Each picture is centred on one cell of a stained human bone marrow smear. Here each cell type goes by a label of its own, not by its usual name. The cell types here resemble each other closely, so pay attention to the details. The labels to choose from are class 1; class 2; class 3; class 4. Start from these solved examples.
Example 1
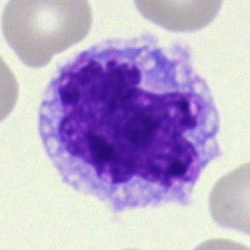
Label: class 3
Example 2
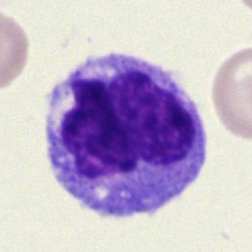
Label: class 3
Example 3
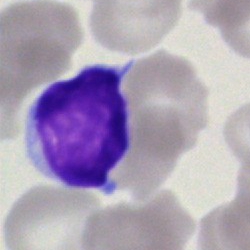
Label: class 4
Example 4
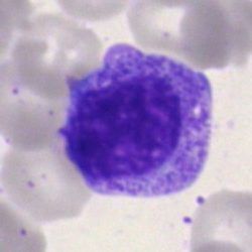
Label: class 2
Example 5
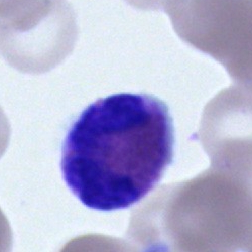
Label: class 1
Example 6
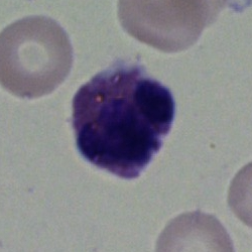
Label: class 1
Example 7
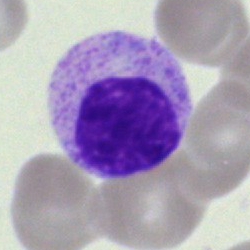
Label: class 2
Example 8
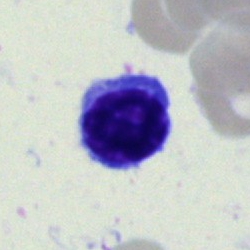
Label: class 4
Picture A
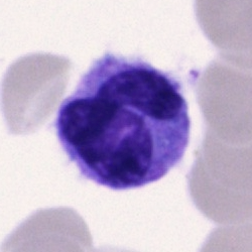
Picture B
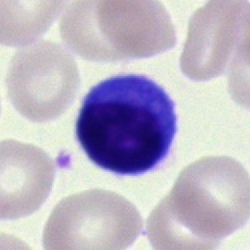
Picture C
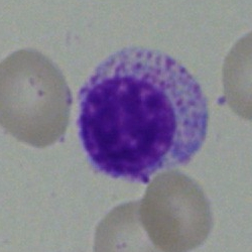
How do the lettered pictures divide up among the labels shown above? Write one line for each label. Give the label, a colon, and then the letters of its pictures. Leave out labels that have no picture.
class 2: C
class 3: A
class 4: B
